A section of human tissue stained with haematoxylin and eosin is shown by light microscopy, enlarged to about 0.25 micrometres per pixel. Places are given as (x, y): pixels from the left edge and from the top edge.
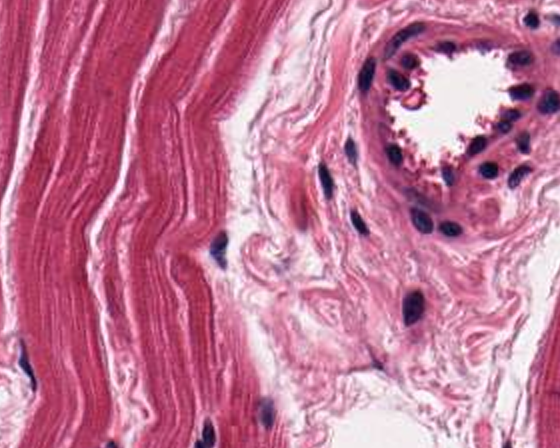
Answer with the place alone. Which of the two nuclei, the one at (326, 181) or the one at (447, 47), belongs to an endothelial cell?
(447, 47)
